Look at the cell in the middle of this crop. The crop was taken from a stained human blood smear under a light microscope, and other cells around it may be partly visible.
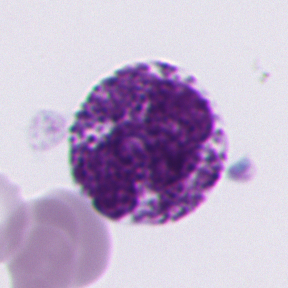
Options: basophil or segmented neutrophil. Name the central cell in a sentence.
The middle of this crop is occupied by a basophil.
